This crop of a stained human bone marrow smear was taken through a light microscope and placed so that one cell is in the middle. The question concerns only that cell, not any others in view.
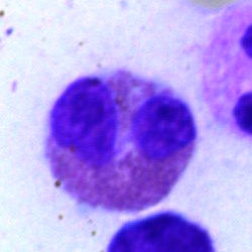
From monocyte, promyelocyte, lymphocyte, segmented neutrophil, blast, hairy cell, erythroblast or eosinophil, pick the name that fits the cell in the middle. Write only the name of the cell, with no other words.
eosinophil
